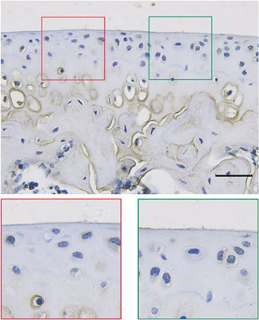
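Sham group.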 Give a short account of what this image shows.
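This is articular cartilage, with chondrocytes scattered in lacunae in a pale matrix below a smooth surface. Most of the cells near the surface show only blue nuclei with little brown, as seen in the enlargements. Deeper down, rounded cells sit in larger lacunae, some of them with brown rims.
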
